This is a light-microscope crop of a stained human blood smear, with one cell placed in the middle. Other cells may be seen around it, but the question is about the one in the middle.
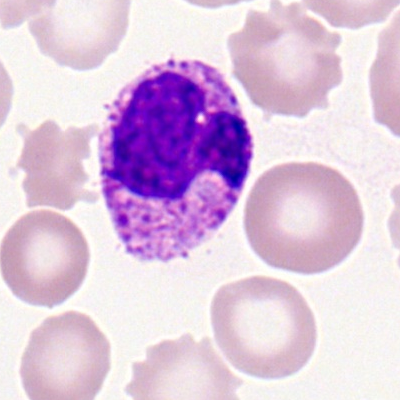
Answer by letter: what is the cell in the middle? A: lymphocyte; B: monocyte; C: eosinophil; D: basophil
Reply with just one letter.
D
